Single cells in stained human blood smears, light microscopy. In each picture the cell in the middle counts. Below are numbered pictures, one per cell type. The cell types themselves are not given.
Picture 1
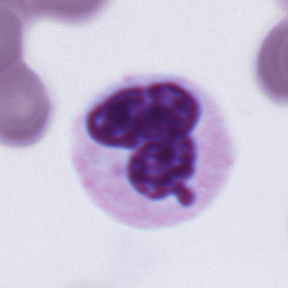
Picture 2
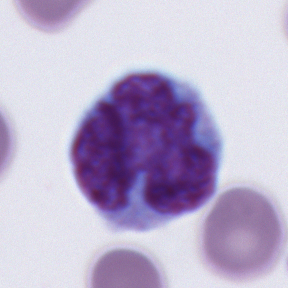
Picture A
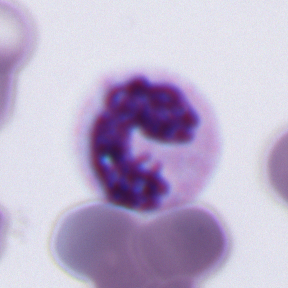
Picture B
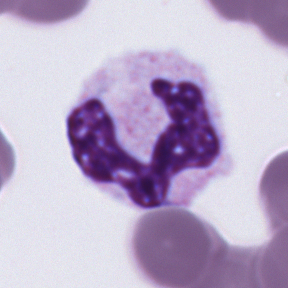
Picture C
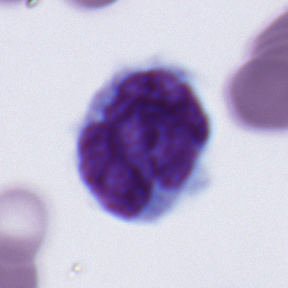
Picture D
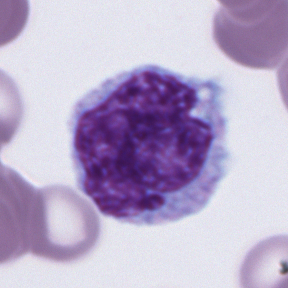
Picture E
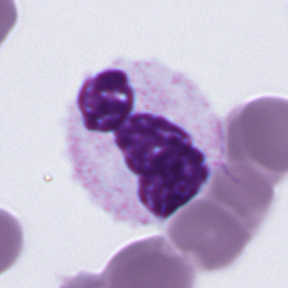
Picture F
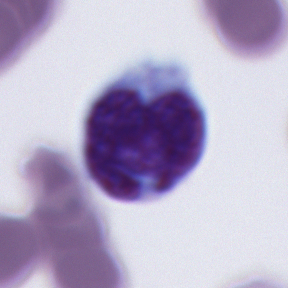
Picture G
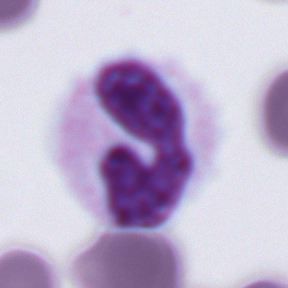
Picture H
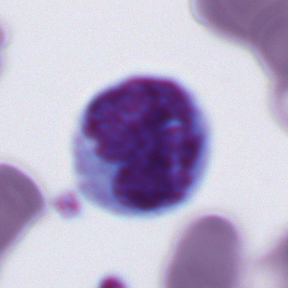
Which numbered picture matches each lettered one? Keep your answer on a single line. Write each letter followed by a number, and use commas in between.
A 1, B 1, C 2, D 2, E 1, F 2, G 1, H 2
